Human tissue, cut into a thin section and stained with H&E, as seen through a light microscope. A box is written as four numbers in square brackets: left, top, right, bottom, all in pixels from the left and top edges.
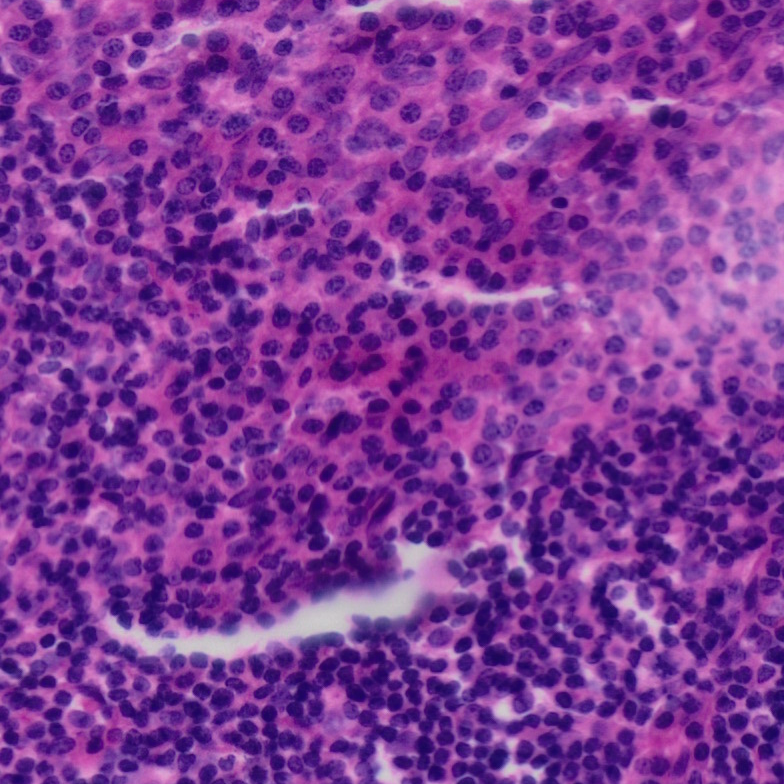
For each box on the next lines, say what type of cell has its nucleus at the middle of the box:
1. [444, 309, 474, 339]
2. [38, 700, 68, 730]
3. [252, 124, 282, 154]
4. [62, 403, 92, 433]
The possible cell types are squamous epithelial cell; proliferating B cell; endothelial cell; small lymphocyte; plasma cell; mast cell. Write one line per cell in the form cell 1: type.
cell 1: plasma cell
cell 2: small lymphocyte
cell 3: plasma cell
cell 4: small lymphocyte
